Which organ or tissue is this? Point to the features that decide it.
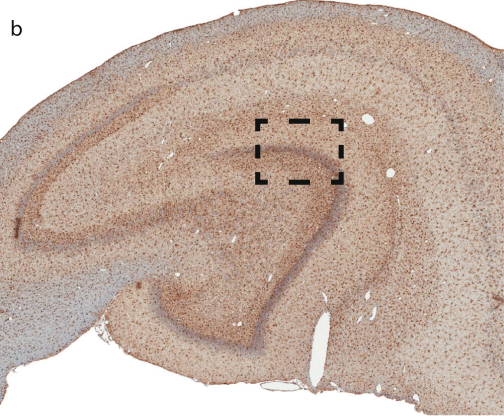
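Hippocampus. A curved, C-shaped band of densely packed cells folds through the tissue. A second, darker V-shaped cell band sits inside the curve of the first. Paler fibrous tissue borders the upper and left edges.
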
